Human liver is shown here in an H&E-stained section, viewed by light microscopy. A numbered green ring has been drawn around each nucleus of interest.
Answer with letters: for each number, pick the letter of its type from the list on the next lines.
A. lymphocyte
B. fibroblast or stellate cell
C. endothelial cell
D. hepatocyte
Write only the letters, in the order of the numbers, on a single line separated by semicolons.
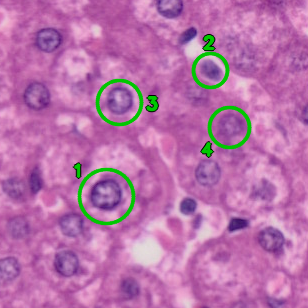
D; A; D; D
